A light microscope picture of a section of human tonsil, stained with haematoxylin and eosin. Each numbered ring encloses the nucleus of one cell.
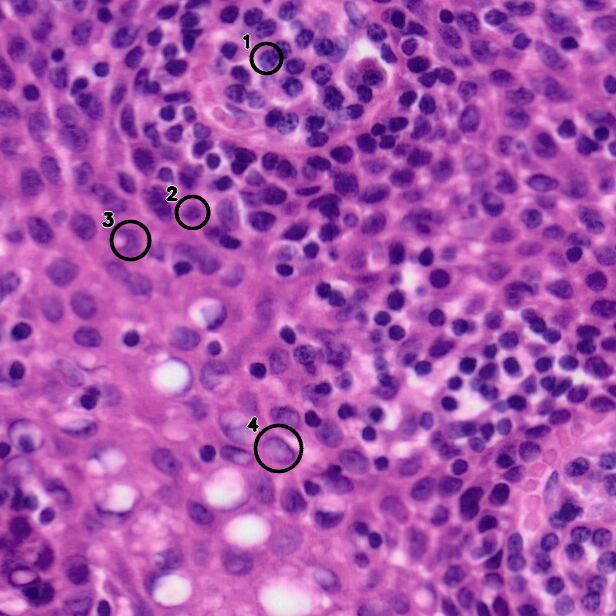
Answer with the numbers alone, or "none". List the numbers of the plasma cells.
1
